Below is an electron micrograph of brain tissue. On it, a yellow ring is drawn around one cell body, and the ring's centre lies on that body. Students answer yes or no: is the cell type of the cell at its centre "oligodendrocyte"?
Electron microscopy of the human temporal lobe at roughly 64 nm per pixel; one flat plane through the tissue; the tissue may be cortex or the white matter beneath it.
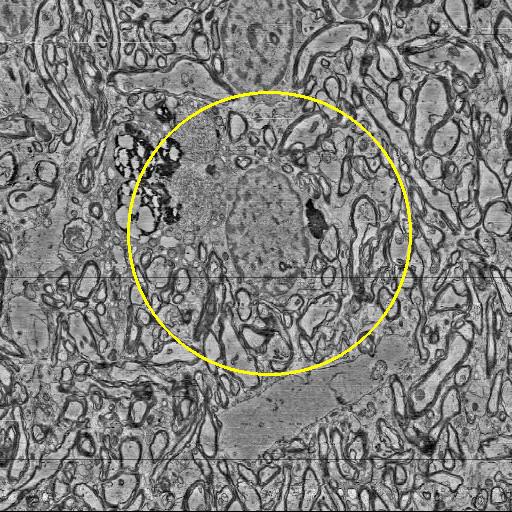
yes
